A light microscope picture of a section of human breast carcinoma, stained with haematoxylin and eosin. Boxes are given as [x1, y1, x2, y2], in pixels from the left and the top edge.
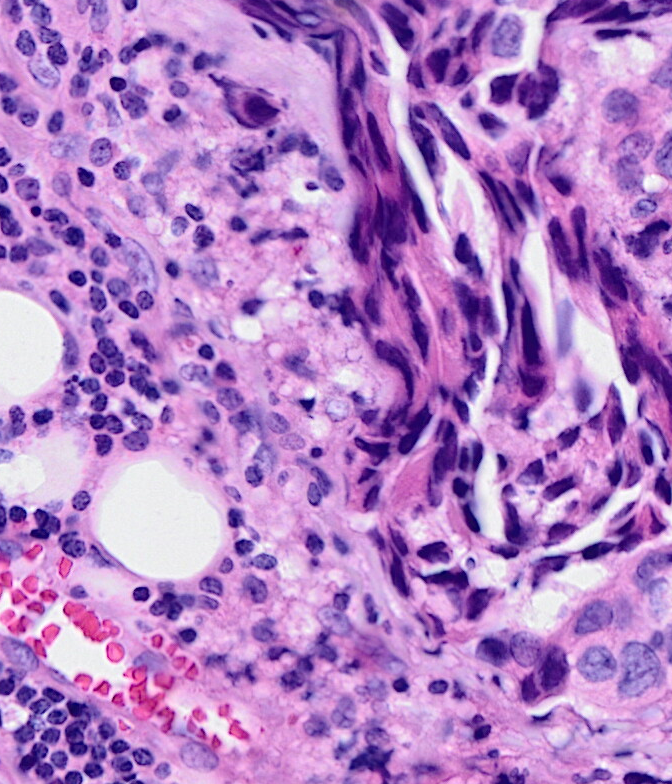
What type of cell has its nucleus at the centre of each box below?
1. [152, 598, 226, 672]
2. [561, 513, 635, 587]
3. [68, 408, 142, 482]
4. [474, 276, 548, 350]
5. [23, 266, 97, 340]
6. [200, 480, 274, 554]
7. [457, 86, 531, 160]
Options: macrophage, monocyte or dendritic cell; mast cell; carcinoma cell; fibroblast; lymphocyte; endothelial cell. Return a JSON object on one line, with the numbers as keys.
{"1": "lymphocyte", "2": "carcinoma cell", "3": "lymphocyte", "4": "carcinoma cell", "5": "lymphocyte", "6": "lymphocyte", "7": "carcinoma cell"}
